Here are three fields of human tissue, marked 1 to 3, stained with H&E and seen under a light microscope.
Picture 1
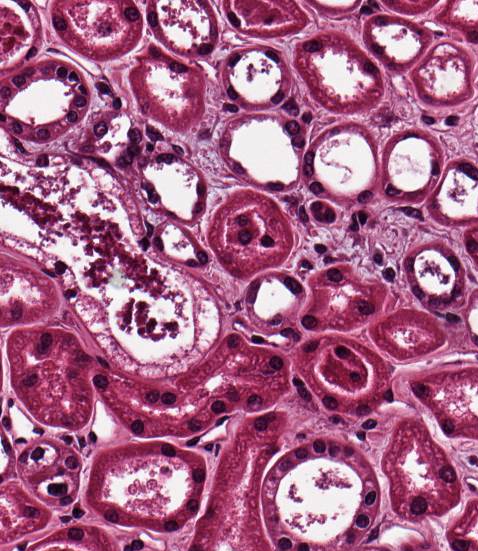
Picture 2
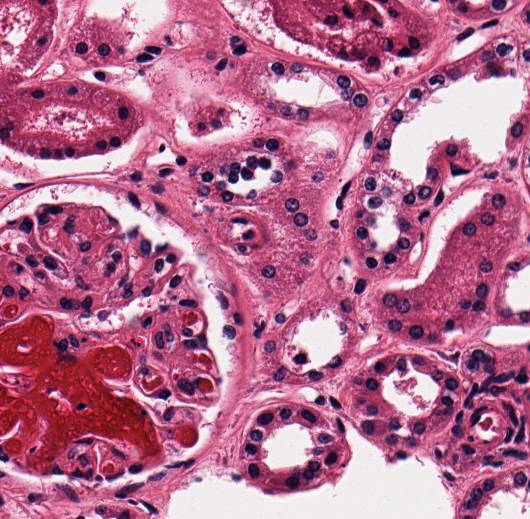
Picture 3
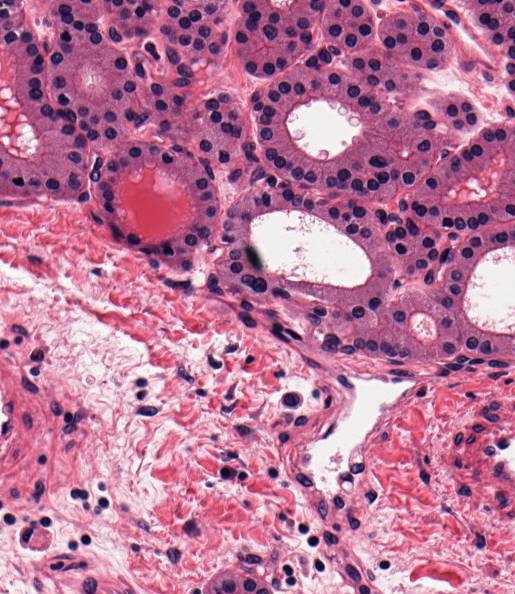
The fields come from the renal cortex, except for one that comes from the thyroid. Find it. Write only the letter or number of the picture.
3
